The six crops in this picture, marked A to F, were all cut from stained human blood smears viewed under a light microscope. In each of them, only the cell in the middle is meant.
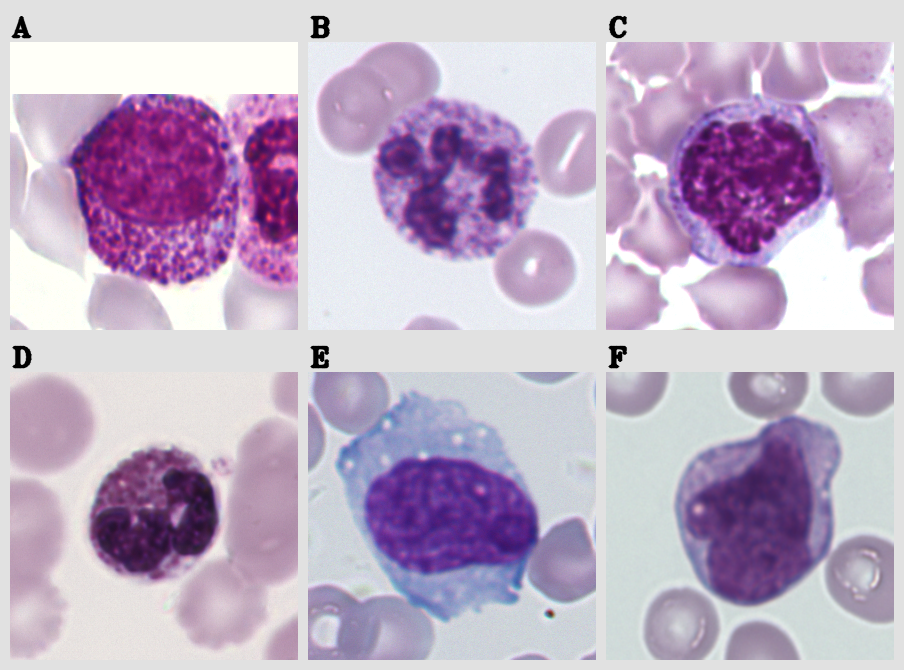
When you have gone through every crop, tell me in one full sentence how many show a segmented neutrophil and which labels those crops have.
One crop alone shows a segmented neutrophil, and that is the crop marked B.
